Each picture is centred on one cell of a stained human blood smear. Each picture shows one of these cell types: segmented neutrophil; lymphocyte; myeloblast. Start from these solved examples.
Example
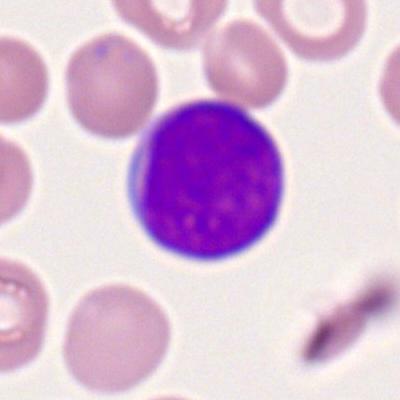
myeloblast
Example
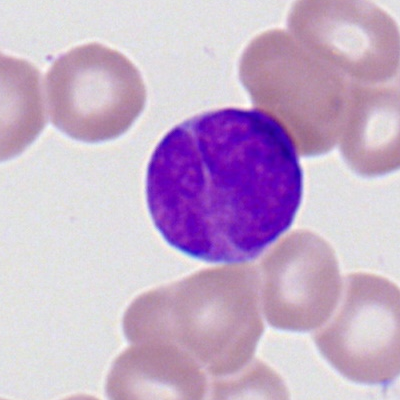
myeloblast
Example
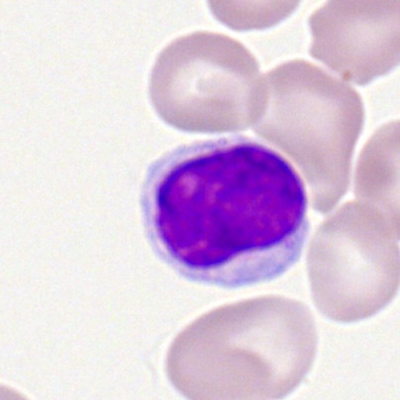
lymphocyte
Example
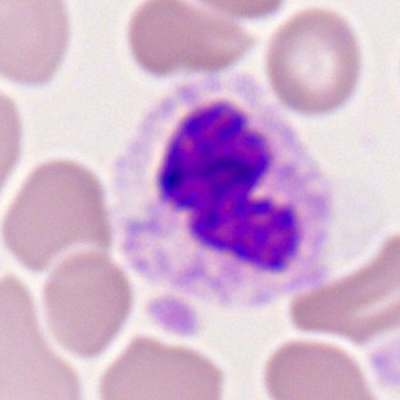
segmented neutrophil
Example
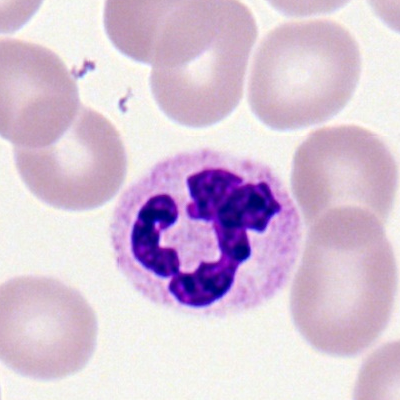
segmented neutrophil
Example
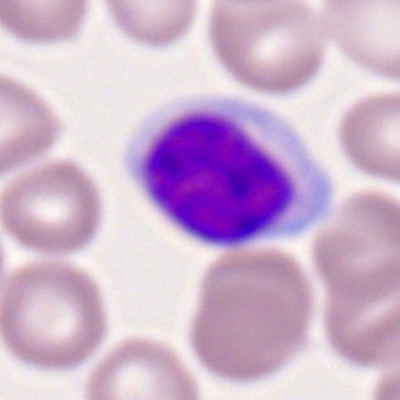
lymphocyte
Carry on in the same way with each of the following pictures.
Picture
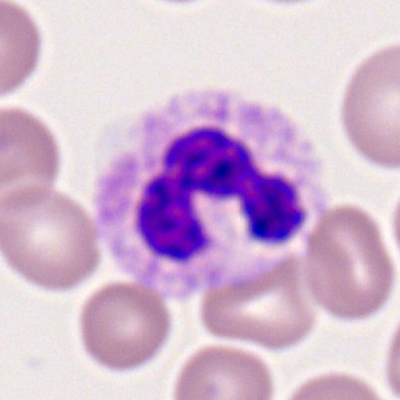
segmented neutrophil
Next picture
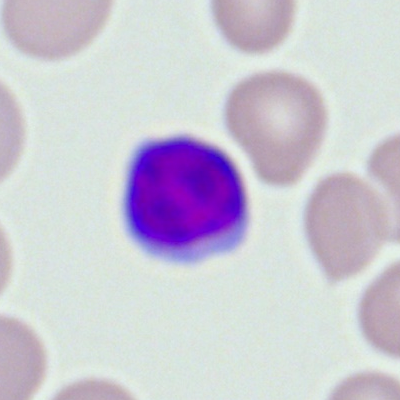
lymphocyte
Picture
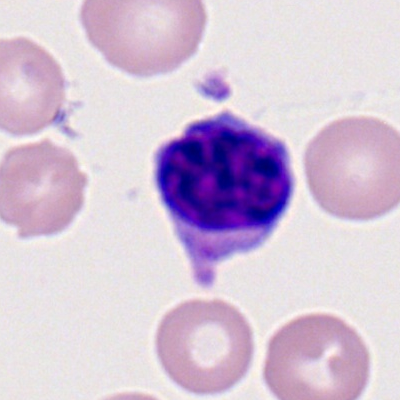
lymphocyte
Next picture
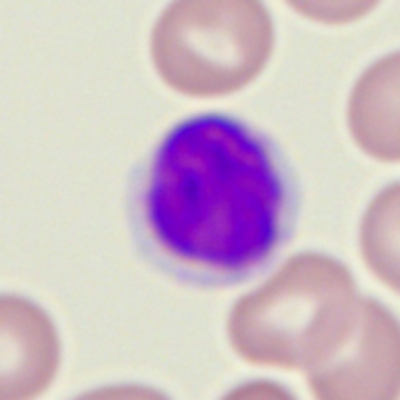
lymphocyte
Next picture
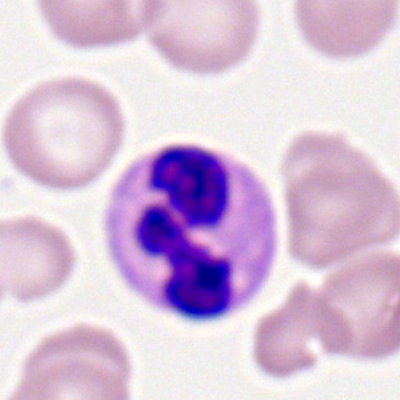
segmented neutrophil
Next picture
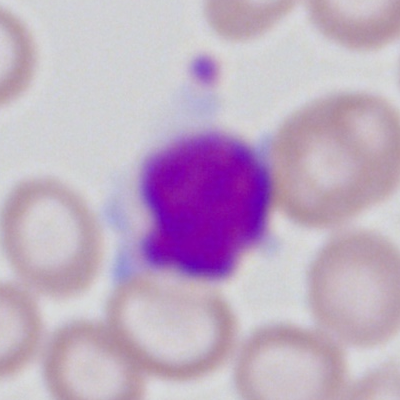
lymphocyte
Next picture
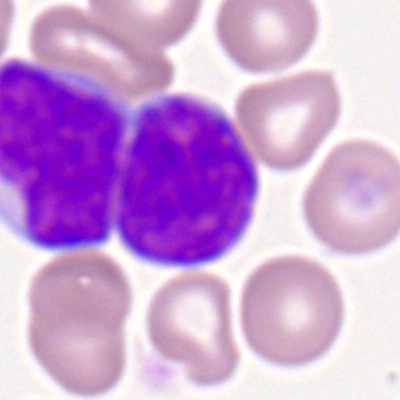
myeloblast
